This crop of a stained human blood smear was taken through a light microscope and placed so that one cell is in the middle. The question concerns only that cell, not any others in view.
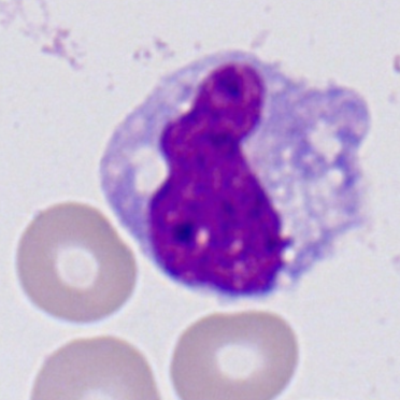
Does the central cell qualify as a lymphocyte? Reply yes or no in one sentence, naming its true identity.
No, it is not a lymphocyte that lies in the middle but a monocyte.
